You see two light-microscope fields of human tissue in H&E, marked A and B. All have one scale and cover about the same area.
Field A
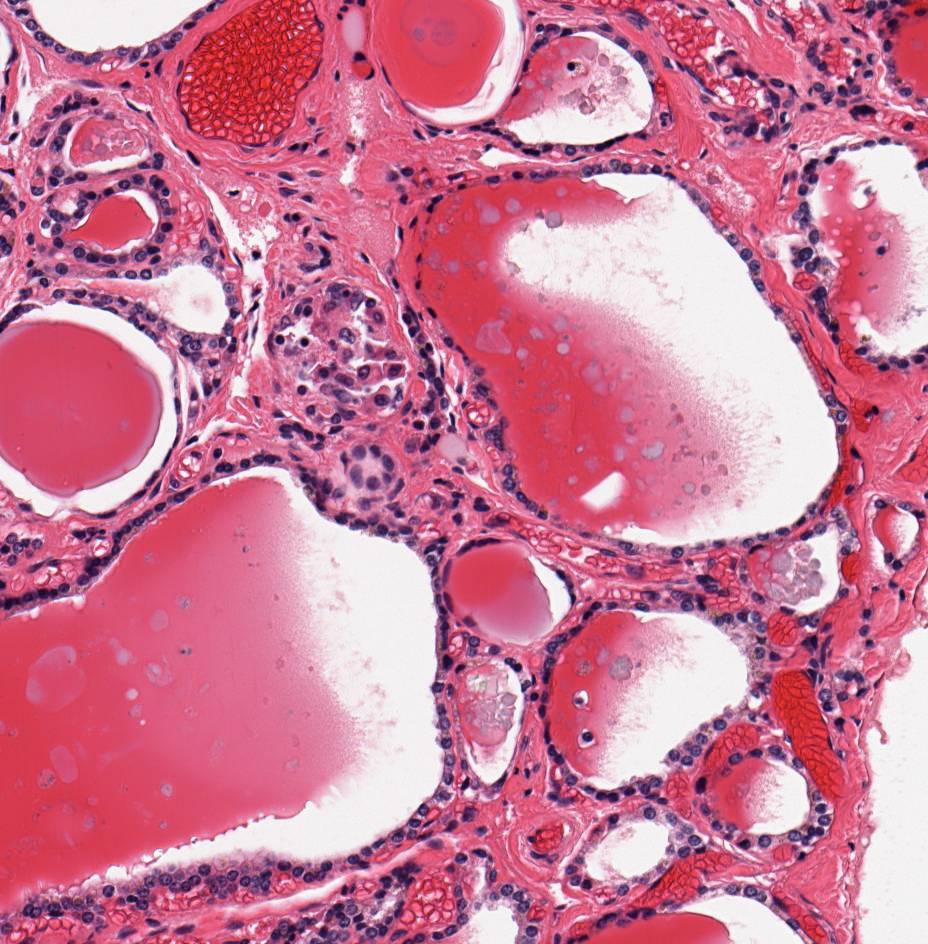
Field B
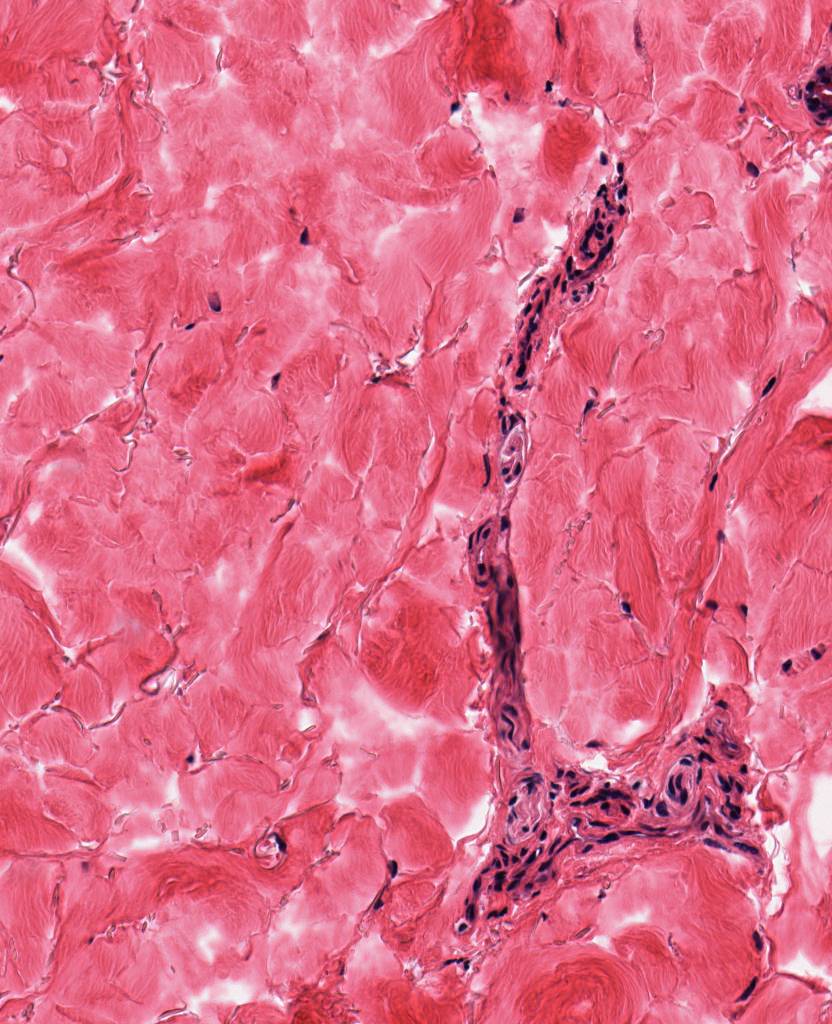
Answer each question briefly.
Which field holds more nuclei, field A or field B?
A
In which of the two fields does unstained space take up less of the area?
B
